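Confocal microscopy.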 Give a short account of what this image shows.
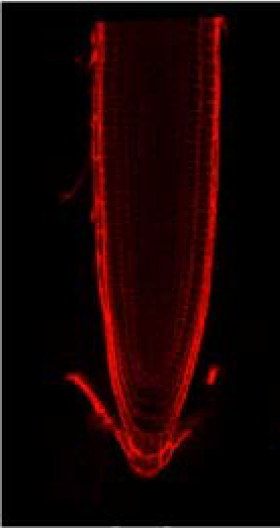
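Here we look at the tip of a young plant root, its meristem, in an optical section. Only the cell walls glow red, drawing a fine net of small, regular, roughly rectangular cells. They stand in neat files that run lengthwise and converge toward the rounded tip, where a cap of cells covers the end and flares a little outward at the sides. The outer layers form the smooth edge of the root.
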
